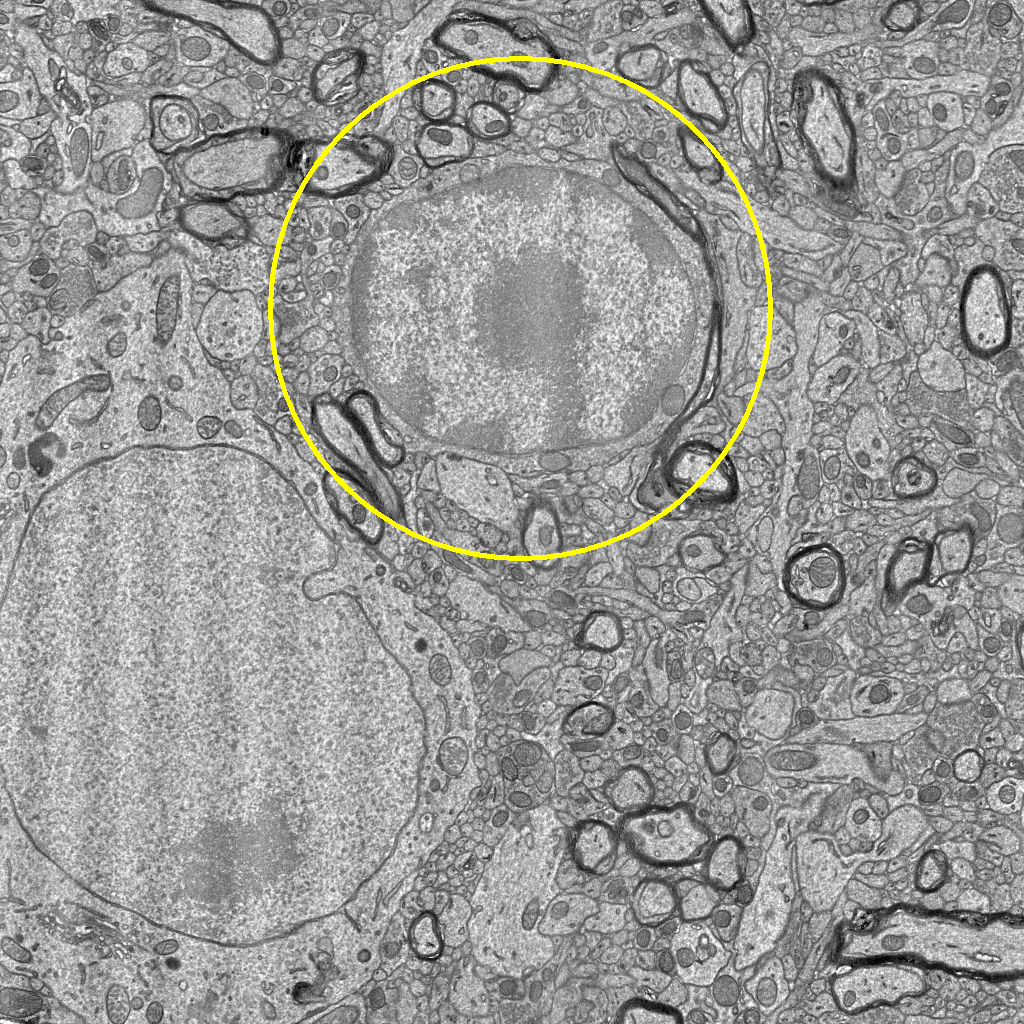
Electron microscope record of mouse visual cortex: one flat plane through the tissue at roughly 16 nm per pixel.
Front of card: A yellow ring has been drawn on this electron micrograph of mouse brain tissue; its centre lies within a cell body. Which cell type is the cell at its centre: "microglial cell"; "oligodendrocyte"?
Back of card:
oligodendrocyte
